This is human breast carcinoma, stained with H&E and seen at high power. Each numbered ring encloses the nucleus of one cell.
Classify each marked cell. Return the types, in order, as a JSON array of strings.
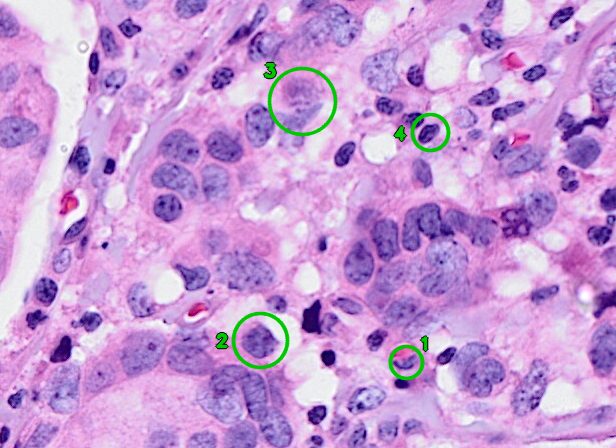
["endothelial cell", "carcinoma cell", "carcinoma cell", "lymphocyte"]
